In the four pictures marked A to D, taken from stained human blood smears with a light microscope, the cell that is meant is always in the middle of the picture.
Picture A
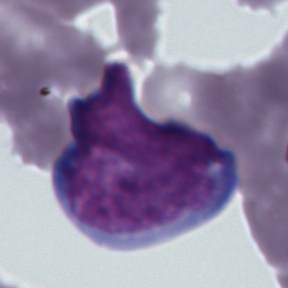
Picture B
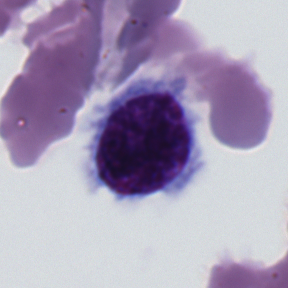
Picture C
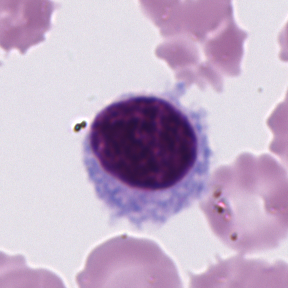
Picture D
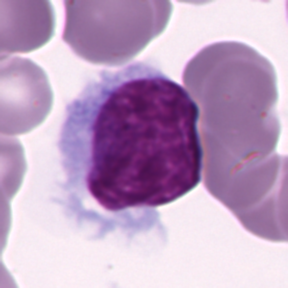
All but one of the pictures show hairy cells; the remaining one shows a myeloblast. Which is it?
A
